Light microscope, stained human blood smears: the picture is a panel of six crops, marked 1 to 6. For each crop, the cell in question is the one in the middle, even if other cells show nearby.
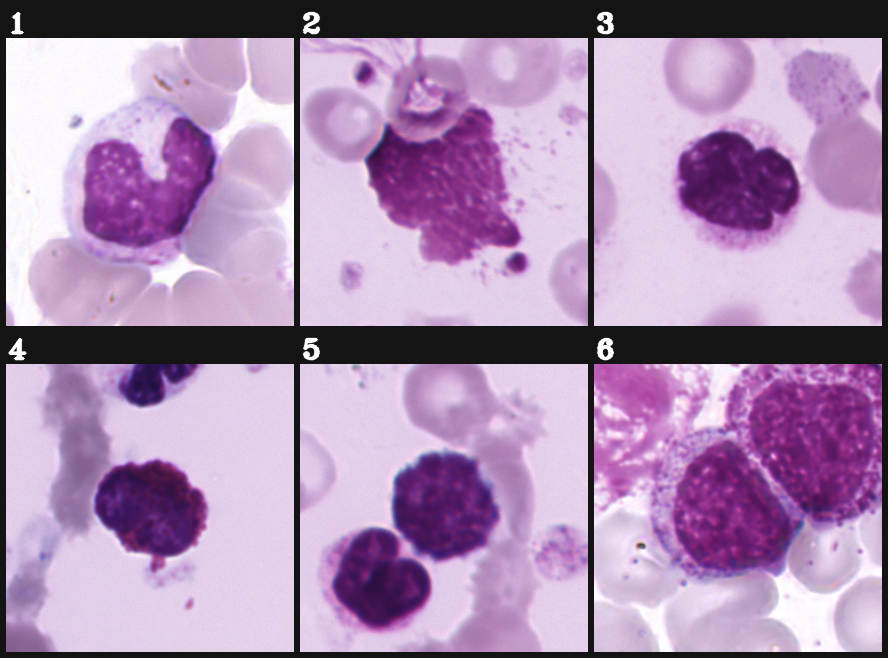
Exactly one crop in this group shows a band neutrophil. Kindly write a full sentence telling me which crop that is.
The crop that has a band neutrophil in the middle is crop 1.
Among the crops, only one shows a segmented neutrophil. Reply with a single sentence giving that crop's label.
The one showing a segmented neutrophil is crop 3.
